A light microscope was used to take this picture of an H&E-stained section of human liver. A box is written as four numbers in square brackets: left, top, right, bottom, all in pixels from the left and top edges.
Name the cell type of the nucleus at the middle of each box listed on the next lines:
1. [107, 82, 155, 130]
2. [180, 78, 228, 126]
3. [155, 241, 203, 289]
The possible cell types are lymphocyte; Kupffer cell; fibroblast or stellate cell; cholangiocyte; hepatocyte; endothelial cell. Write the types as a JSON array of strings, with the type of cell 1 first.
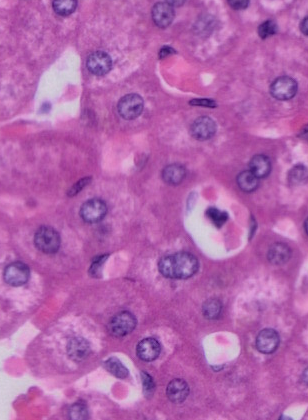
["hepatocyte", "fibroblast or stellate cell", "hepatocyte"]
